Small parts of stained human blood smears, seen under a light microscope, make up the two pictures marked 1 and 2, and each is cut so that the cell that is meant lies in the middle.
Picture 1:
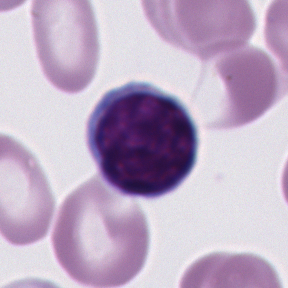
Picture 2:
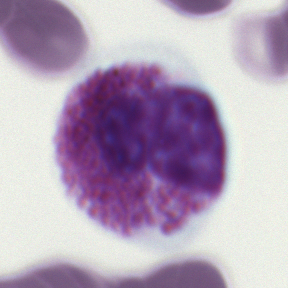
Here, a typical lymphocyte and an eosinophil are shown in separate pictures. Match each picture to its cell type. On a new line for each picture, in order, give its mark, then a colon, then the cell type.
1: typical lymphocyte
2: eosinophil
